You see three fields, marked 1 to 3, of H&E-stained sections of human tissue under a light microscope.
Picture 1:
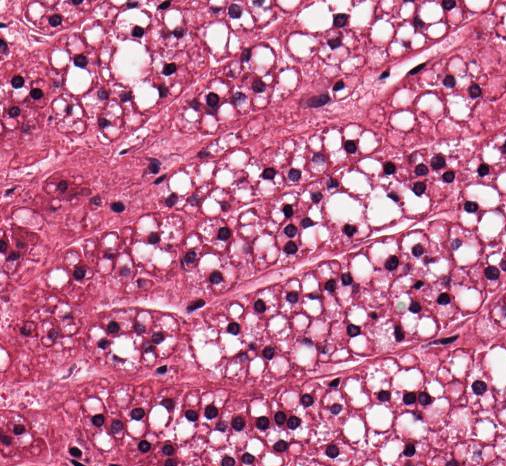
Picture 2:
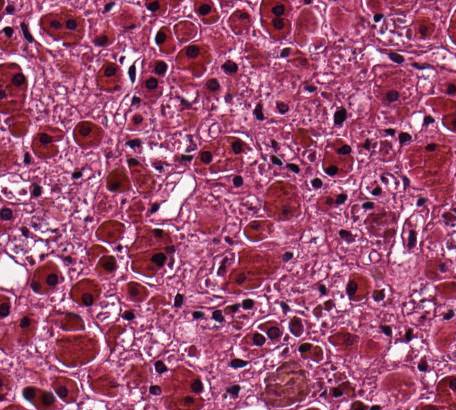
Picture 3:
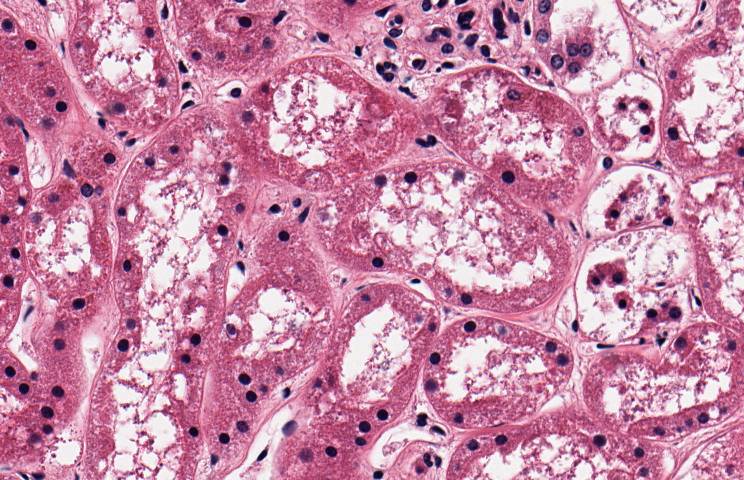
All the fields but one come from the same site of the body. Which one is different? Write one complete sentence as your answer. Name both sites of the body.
Unlike the rest, which come from the adrenal gland, picture 3 comes from the renal cortex.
